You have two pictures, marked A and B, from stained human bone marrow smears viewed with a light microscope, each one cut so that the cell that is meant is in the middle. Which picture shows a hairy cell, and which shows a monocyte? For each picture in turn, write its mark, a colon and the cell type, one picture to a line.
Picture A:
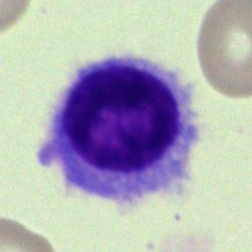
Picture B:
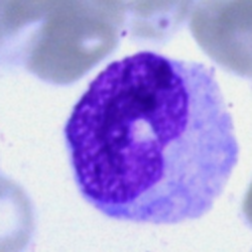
A: hairy cell
B: monocyte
